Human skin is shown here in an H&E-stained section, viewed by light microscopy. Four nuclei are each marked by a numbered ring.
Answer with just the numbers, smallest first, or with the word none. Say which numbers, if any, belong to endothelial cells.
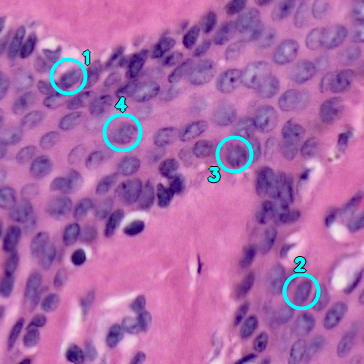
none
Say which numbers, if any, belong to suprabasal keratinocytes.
4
